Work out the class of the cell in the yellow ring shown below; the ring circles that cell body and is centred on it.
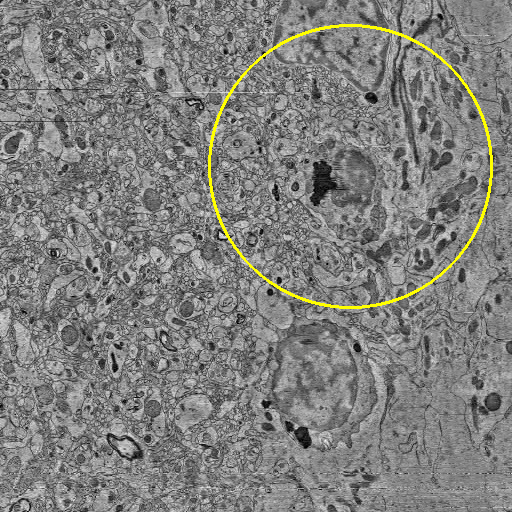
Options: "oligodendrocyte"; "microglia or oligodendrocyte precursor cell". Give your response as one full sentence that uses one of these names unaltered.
The body ringed in yellow, right at the ring's centre, is that of an oligodendrocyte.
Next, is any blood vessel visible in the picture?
Yes, there is a blood vessel in the image.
